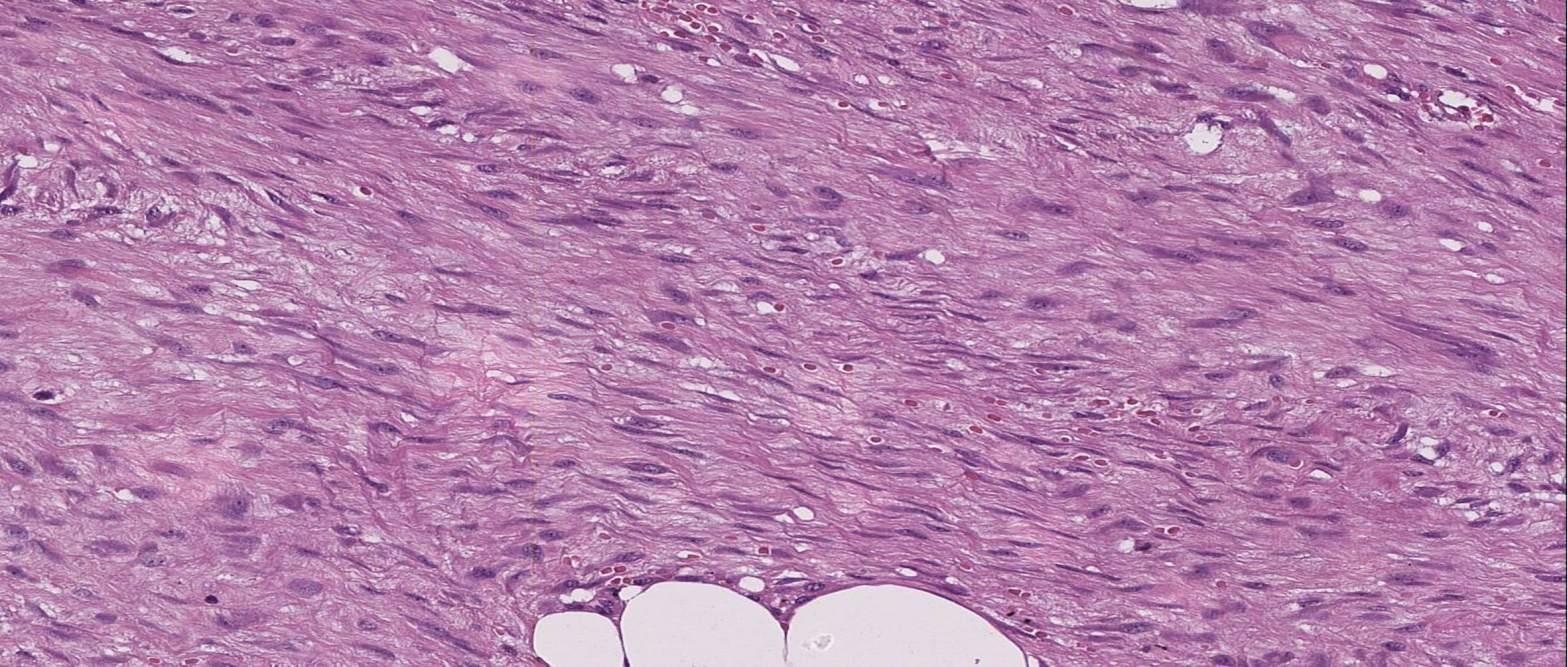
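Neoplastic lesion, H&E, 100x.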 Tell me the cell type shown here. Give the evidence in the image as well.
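Spindle-shaped cells with elongated, tapering nuclei. Cells sit in a pink, fibrillar collagenous background. Cytoplasm is pale pink and poorly demarcated. That points to this answer: fibroblasts and myofibroblasts.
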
